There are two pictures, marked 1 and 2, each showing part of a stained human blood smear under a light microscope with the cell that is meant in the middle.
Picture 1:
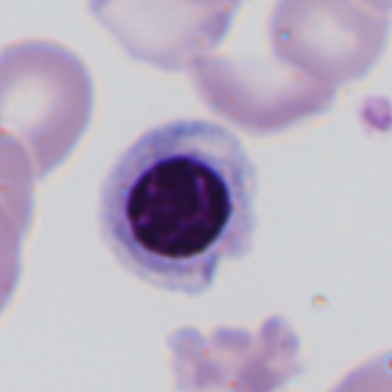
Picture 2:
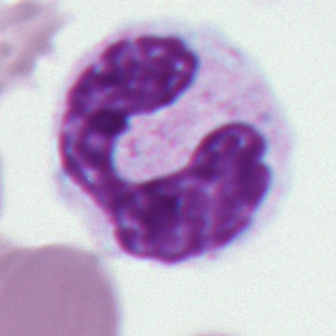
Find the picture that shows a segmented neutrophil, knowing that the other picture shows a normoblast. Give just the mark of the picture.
2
